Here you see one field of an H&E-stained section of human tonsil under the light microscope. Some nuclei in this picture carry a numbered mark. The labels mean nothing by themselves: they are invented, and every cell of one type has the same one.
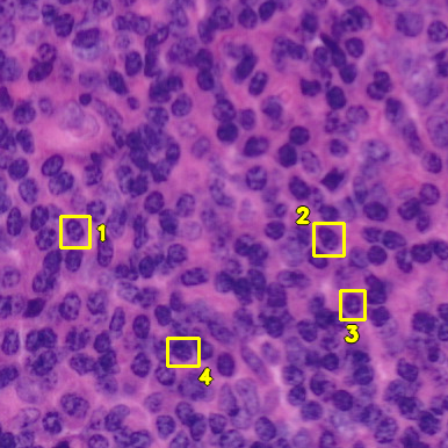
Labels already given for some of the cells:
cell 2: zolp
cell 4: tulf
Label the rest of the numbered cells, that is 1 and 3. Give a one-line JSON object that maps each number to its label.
{"1": "zolp", "3": "zolp"}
